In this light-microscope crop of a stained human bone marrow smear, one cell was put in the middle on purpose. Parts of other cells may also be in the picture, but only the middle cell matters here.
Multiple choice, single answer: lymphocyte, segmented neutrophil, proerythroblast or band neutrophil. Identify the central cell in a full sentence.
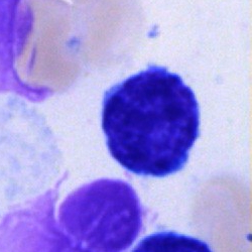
Of the cells in this crop, the central one is a lymphocyte.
